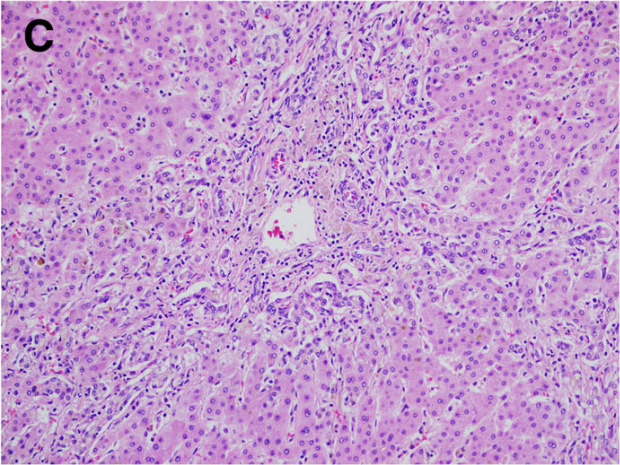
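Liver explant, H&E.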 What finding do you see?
ductular reaction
